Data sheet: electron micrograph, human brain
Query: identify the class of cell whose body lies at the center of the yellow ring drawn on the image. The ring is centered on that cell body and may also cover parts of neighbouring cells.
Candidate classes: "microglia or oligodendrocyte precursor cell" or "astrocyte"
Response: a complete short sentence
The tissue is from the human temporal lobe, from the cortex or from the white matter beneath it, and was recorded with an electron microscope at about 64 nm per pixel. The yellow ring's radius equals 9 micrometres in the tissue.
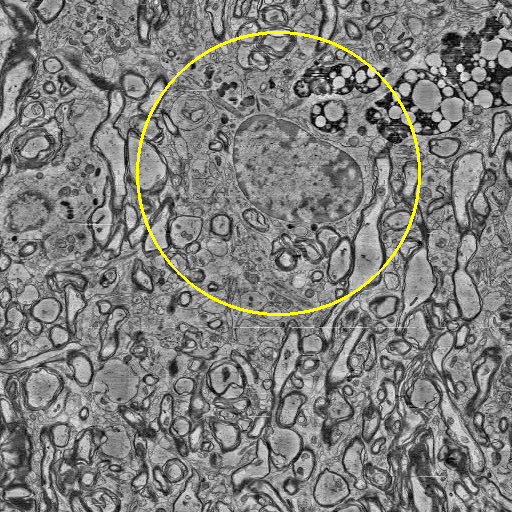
At the center of the ring lies a microglial cell or oligodendrocyte precursor cell.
